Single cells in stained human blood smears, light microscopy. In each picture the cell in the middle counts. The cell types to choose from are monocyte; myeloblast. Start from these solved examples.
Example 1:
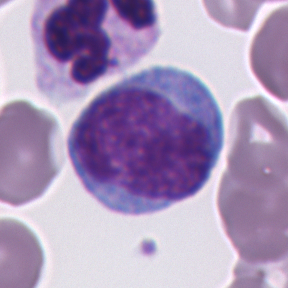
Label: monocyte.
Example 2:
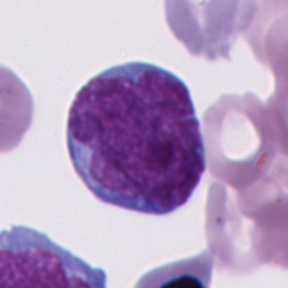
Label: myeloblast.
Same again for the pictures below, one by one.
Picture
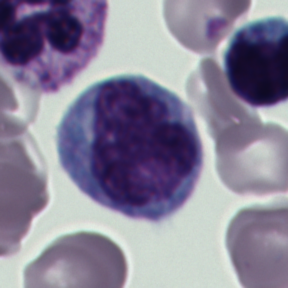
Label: monocyte.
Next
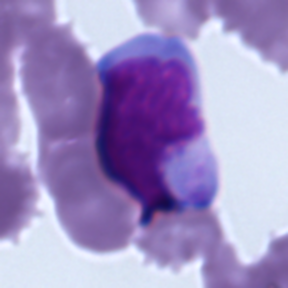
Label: myeloblast.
